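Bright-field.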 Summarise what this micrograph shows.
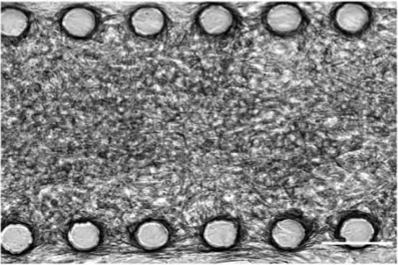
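The tissue has a finer, streaky texture made of elongated cell profiles rather than discrete round ones. Fibres can be seen wrapping around the posts at the edges of the band, where the tissue is anchored.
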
